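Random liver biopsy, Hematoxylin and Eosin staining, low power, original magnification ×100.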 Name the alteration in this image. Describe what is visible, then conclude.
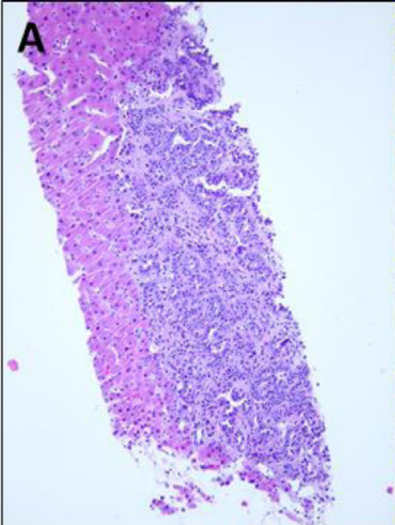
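Pink liver cell cords lie at the upper left edge of the core. Most of the core is taken by a denser, bluer, more cellular growth. The cellular growth forms nests and small gland-like spaces unlike the liver cords.
Microscopic tumor foci.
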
